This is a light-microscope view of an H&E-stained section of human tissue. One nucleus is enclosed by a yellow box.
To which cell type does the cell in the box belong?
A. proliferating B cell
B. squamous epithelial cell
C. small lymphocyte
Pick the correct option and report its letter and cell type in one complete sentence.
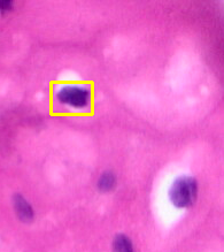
Option B matches the cell in the box, which is a squamous epithelial cell.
